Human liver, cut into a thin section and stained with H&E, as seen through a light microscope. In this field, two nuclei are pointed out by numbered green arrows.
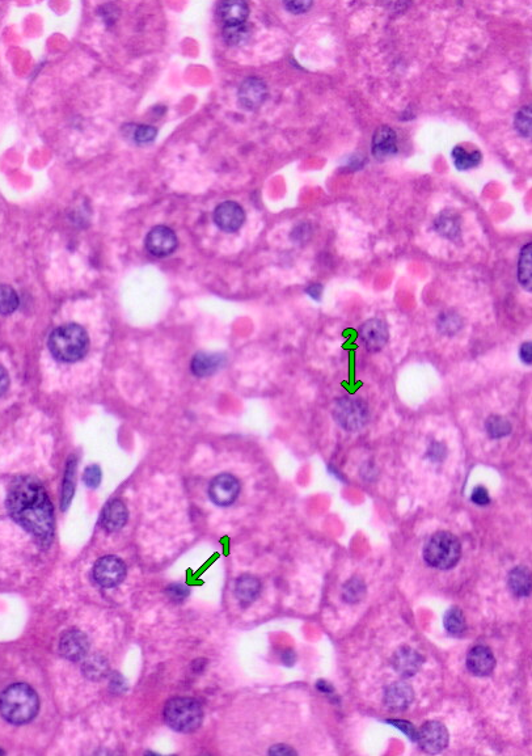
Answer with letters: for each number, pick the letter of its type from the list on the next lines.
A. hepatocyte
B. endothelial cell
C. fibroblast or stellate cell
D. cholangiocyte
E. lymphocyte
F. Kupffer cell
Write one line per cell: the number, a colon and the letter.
1: F
2: A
